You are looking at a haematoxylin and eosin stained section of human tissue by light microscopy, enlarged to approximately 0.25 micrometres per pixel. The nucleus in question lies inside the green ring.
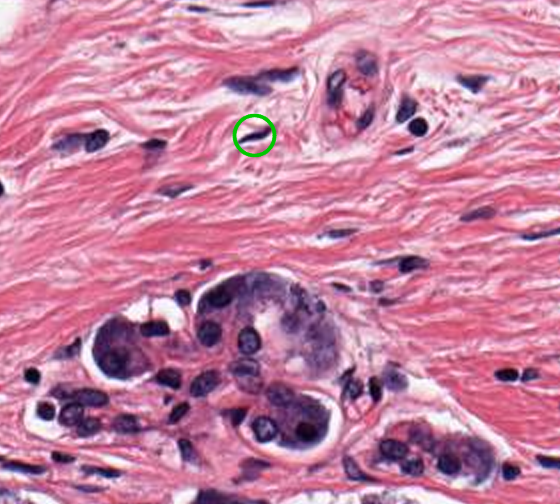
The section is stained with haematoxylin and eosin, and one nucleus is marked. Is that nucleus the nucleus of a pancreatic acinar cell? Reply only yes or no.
no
